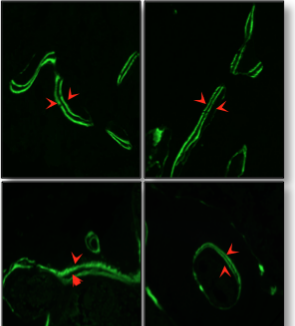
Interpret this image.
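Trabecular bone seen by fluorescence, with green lines tracing the bone surfaces against a dark background. Along many trabeculae the green label appears as two thin parallel lines separated by a narrow gap, following the curved contours of the bone.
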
